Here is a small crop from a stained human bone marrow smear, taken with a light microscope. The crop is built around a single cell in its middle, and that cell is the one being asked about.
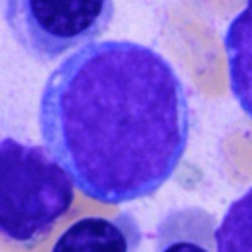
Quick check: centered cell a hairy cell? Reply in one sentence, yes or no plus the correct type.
No, the centre of the crop is taken up by a blast, not a hairy cell.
